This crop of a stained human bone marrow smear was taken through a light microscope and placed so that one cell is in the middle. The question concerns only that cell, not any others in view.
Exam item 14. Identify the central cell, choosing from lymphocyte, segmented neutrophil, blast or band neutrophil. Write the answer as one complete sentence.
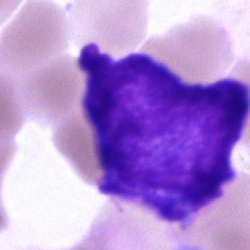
The crop centres on a single cell, and that cell is a blast.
